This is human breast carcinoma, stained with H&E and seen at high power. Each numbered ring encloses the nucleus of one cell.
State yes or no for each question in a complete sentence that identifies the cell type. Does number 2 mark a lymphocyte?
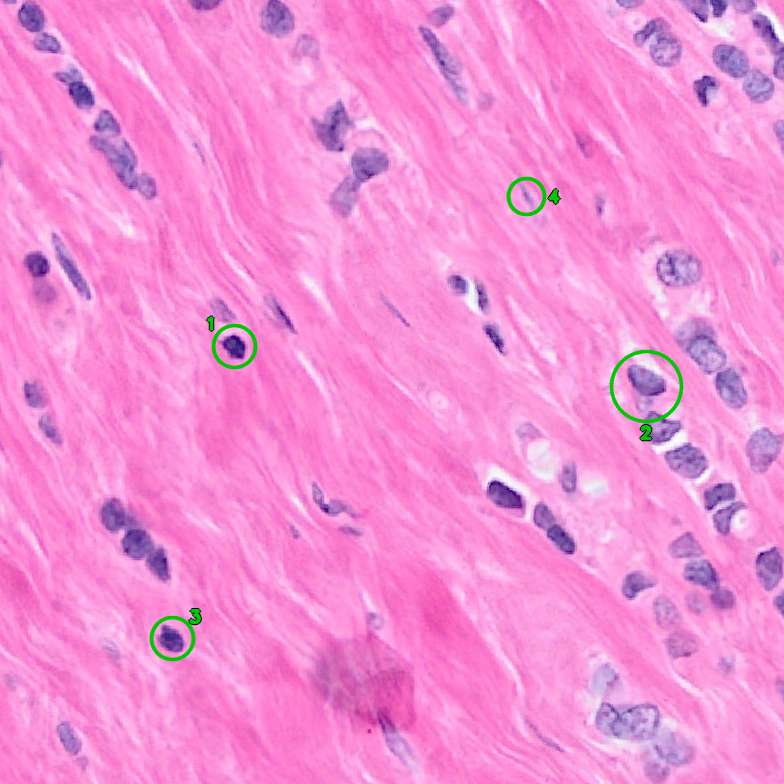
No, the cell that carries number 2 is a carcinoma cell, not a lymphocyte.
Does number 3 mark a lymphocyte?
Yes, the cell that bears number 3 is a lymphocyte.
